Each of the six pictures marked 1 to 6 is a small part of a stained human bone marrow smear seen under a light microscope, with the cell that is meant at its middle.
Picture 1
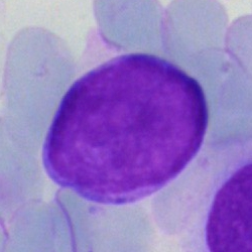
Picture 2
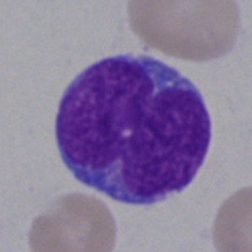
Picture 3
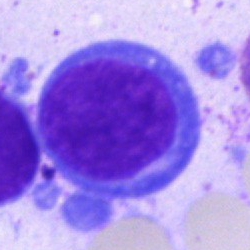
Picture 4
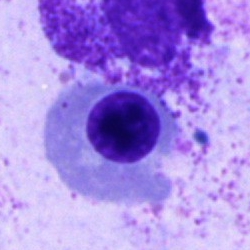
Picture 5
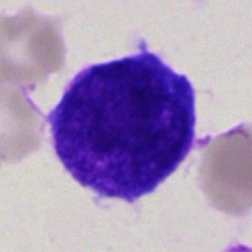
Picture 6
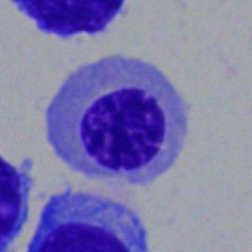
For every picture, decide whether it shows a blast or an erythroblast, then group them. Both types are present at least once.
1: blast
2: blast
3: blast
4: erythroblast
5: blast
6: erythroblast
